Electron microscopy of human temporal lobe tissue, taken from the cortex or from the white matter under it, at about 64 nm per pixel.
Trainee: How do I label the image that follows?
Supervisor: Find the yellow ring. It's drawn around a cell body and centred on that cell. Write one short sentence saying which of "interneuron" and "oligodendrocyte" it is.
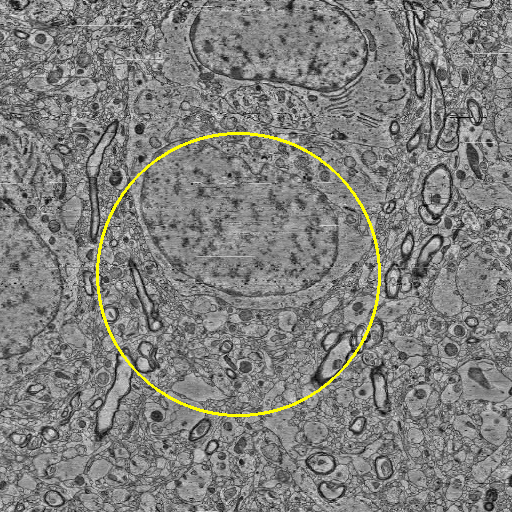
This is the cell body of an interneuron.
